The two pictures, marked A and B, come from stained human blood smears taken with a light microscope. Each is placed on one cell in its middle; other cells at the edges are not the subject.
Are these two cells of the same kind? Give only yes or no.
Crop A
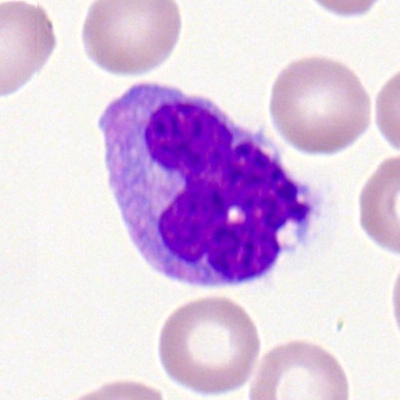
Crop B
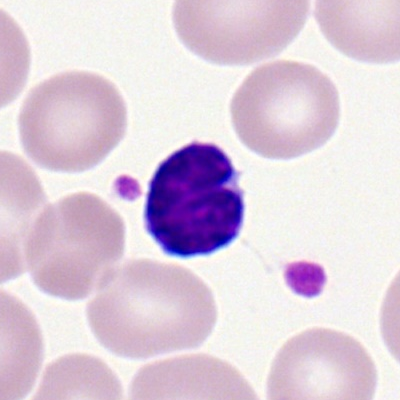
no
